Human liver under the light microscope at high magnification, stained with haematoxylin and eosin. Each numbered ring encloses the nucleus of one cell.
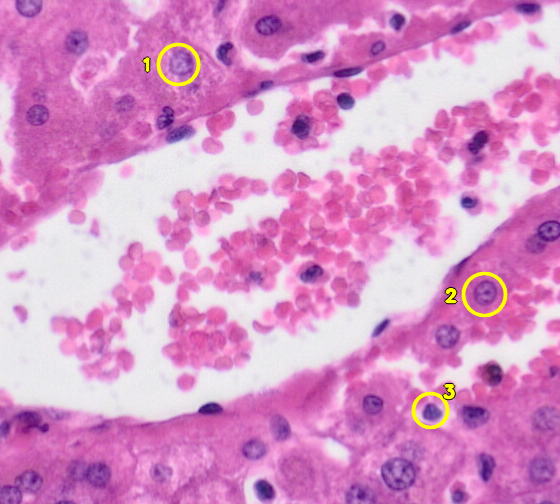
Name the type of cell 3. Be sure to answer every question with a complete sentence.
The cell numbered 3 has been identified as a lymphocyte.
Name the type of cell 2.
Here, the cell given the number 2 is a hepatocyte.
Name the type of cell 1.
Recognised here as a hepatocyte is the cell numbered 1.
